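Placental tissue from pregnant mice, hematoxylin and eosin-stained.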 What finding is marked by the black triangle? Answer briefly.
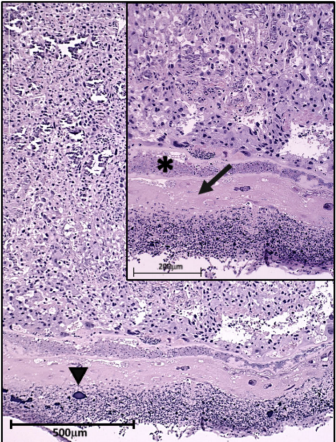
Mineralization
